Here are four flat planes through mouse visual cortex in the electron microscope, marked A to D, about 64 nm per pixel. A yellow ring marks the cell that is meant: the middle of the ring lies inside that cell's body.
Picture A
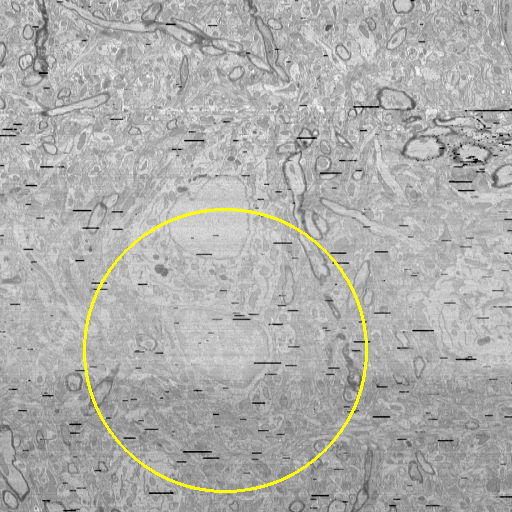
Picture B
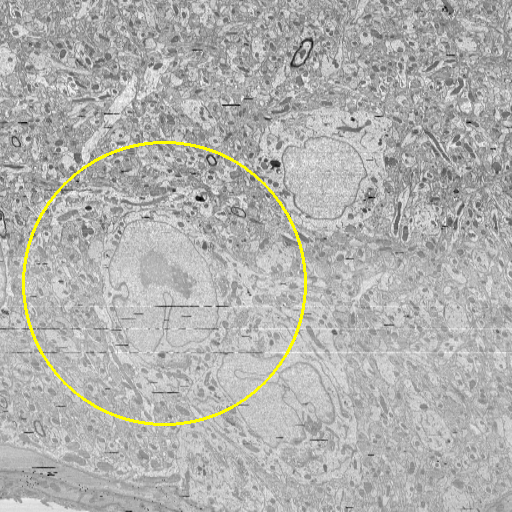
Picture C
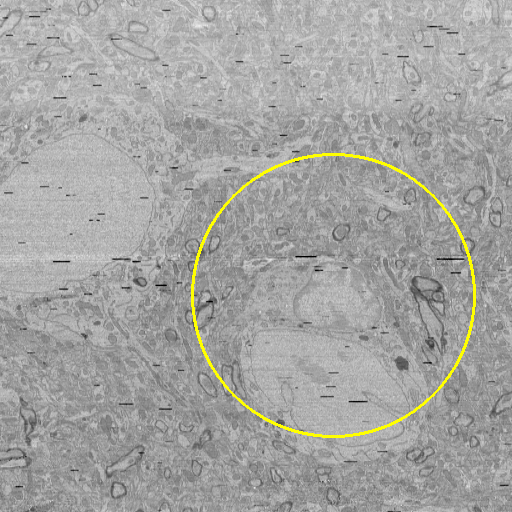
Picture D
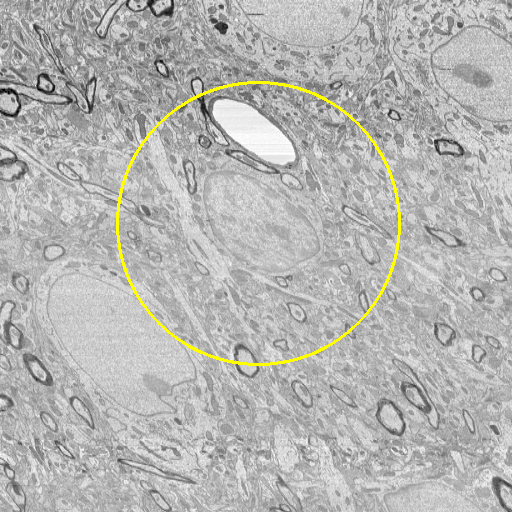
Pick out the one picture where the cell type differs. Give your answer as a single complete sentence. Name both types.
Unlike the rest, which show oligodendrocytes, picture B shows an inhibitory neuron.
